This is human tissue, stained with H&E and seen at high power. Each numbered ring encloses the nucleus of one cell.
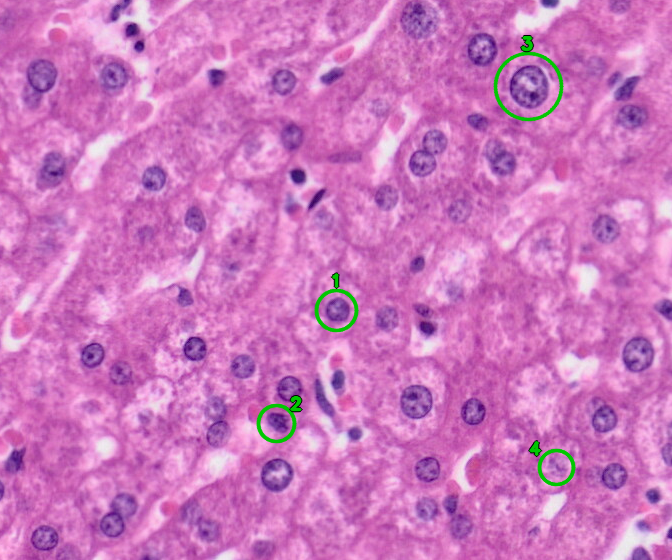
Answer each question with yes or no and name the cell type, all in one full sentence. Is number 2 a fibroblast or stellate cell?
Yes, the cell identified as number 2 is a fibroblast or stellate cell.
